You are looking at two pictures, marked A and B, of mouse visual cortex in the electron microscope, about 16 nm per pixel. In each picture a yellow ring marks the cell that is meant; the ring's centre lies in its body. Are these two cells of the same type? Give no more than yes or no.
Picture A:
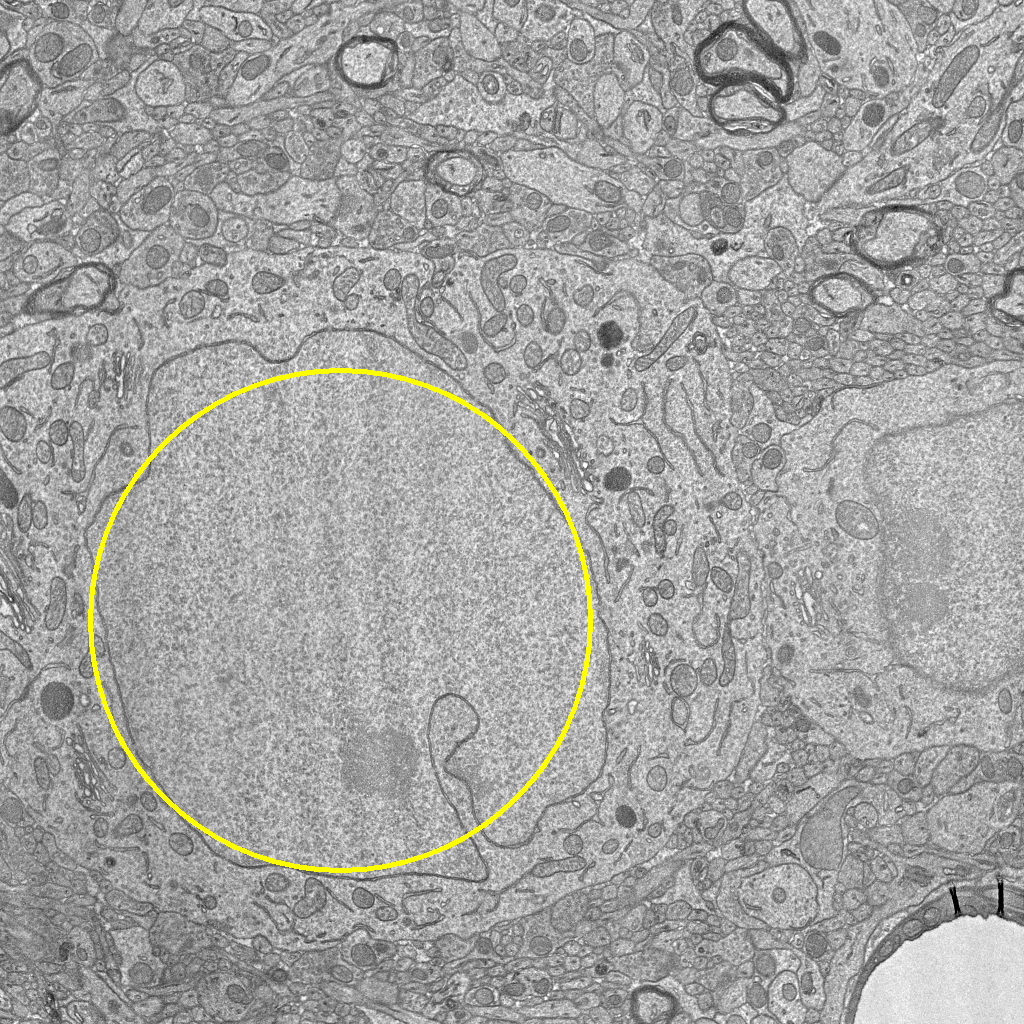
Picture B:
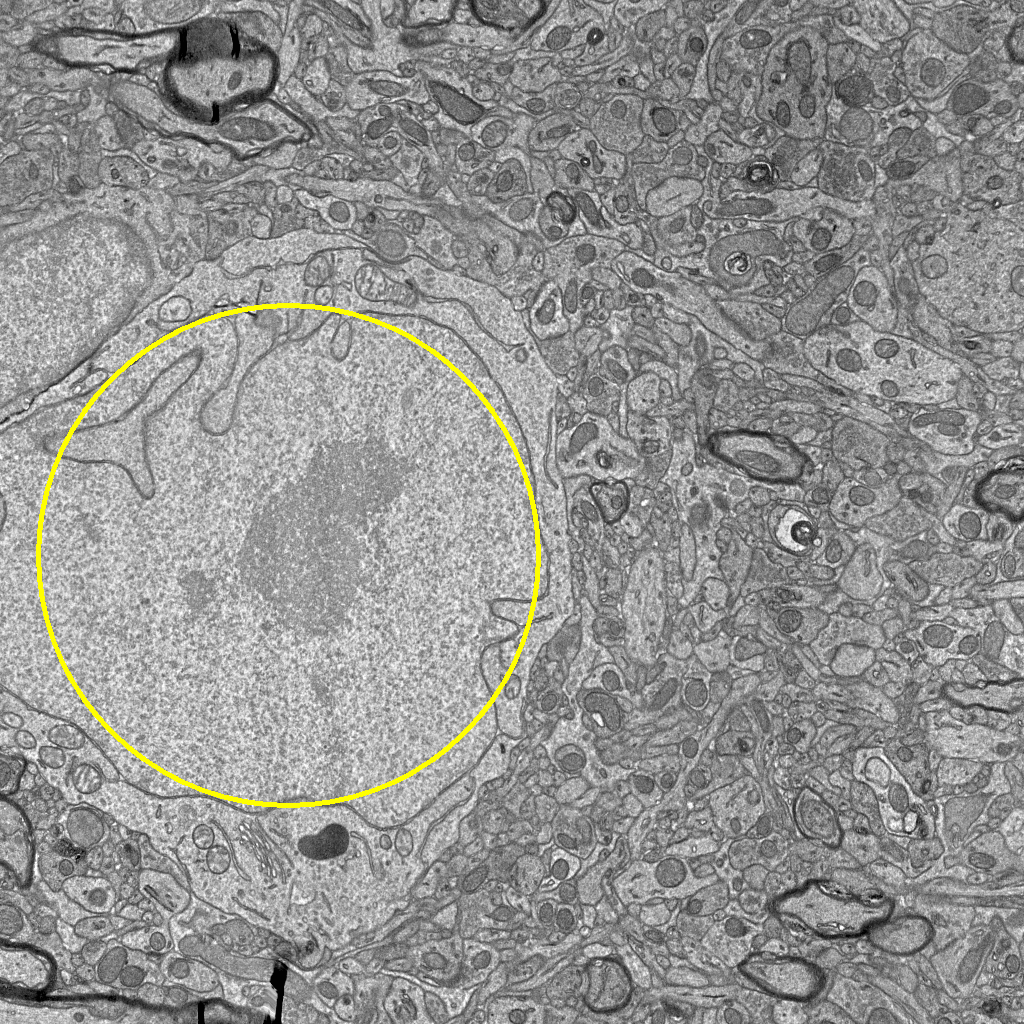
yes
